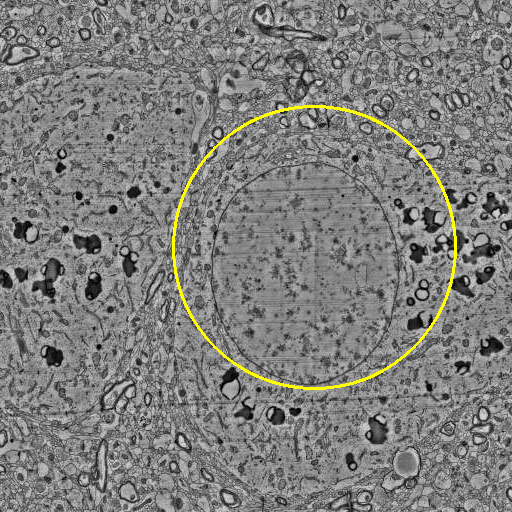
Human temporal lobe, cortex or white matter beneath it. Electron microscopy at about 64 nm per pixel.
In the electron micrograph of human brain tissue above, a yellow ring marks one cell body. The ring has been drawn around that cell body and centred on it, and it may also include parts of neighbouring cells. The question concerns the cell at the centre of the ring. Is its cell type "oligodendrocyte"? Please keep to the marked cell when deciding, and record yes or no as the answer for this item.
no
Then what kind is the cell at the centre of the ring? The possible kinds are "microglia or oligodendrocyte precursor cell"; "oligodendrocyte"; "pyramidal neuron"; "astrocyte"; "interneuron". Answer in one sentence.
The cell in the ring is a pyramidal neuron instead.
